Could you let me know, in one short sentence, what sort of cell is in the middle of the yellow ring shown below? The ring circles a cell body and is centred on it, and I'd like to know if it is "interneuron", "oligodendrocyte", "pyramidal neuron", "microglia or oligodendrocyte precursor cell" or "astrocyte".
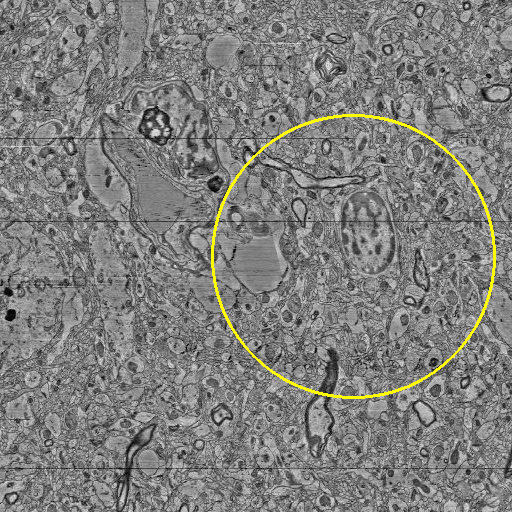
The ring circles the cell body of a microglial cell or oligodendrocyte precursor cell.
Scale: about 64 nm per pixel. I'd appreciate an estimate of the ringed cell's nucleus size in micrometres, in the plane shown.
In this plane the nucleus measures about 5 by 3 micrometres and is clearly longer than it is wide.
